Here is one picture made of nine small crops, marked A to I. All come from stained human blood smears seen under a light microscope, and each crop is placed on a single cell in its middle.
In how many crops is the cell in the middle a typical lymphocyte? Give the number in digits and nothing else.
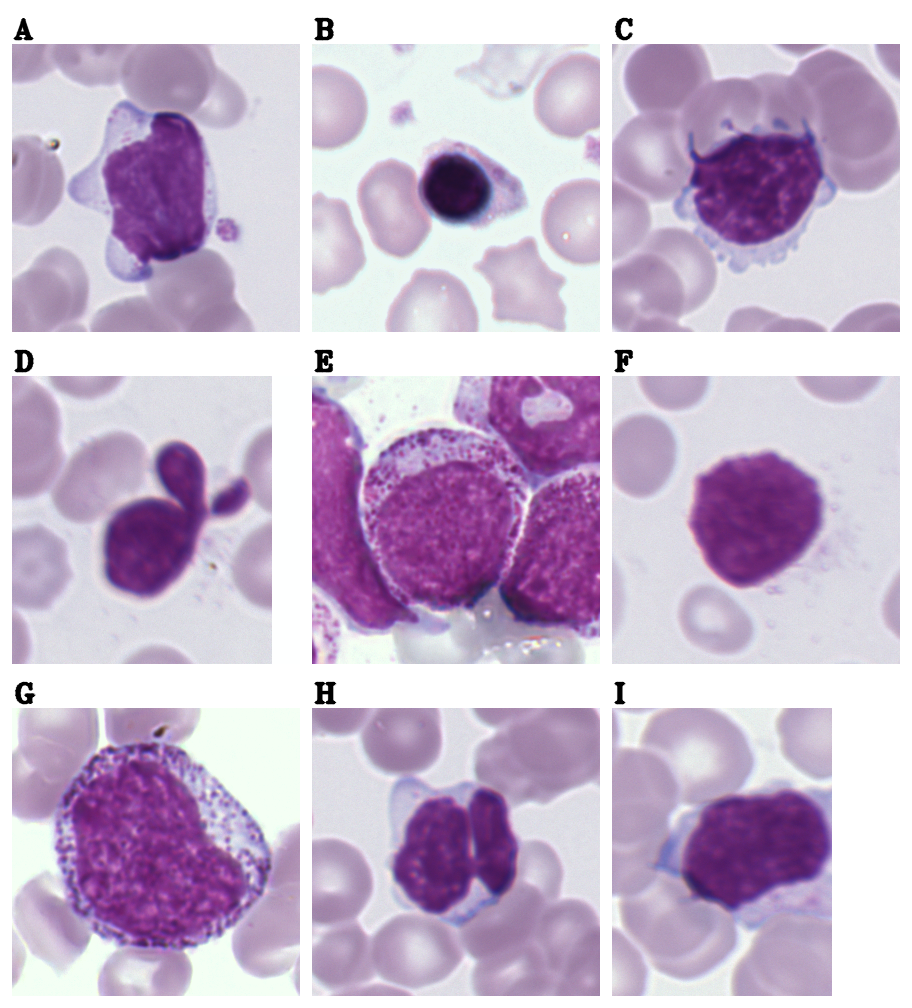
1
